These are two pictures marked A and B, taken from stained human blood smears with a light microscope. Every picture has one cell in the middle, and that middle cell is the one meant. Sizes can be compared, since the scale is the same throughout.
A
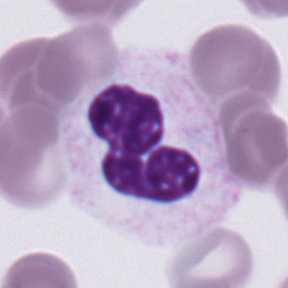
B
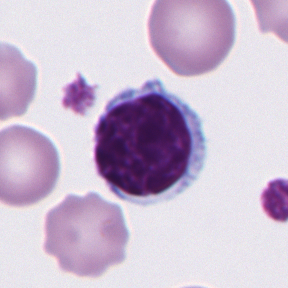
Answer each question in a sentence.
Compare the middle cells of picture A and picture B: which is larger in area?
It is the cell in picture A, about 2.5 times as large in area as the cell in picture B.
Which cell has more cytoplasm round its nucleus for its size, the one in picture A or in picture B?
It is the cell in picture A that is filled less by its nucleus.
